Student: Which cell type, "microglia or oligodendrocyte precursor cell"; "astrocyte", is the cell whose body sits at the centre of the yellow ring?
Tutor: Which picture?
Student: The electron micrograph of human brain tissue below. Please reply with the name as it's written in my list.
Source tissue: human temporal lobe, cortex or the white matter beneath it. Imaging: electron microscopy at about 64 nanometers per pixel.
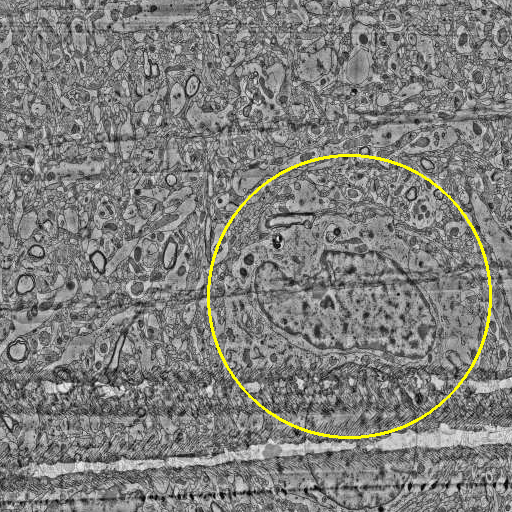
microglia or oligodendrocyte precursor cell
